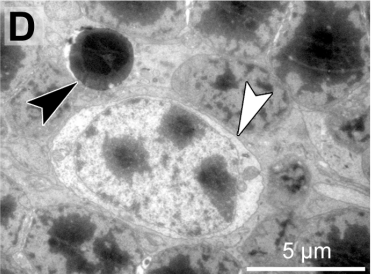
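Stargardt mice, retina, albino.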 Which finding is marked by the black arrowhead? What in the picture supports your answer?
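The marked nucleus is small and round. Its chromatin is uniformly very electron-dense.
Hence: pyknotic nucleus.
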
